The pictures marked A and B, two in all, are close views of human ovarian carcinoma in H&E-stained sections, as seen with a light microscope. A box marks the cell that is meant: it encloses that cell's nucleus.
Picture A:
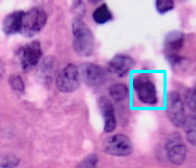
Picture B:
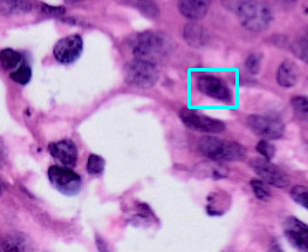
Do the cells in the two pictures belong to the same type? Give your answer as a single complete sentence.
Yes, both are carcinoma cells.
